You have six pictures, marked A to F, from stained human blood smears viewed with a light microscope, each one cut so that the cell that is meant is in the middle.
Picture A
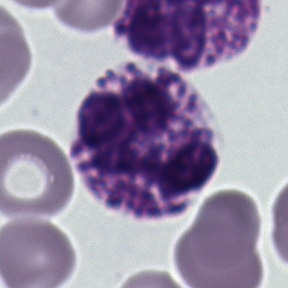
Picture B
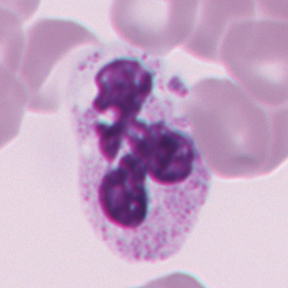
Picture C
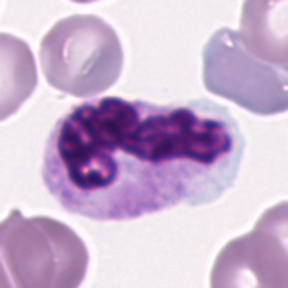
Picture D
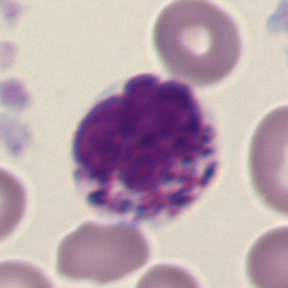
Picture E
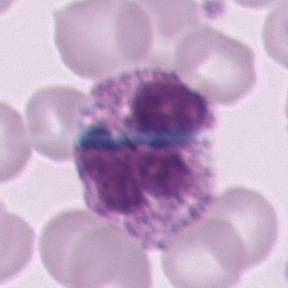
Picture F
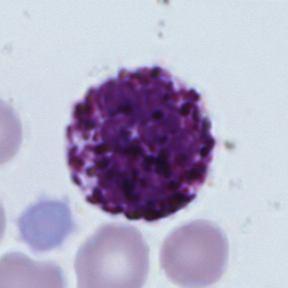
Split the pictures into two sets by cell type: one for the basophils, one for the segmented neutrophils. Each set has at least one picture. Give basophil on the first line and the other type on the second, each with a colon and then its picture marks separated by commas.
basophil: A, D, E, F
segmented neutrophil: B, C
